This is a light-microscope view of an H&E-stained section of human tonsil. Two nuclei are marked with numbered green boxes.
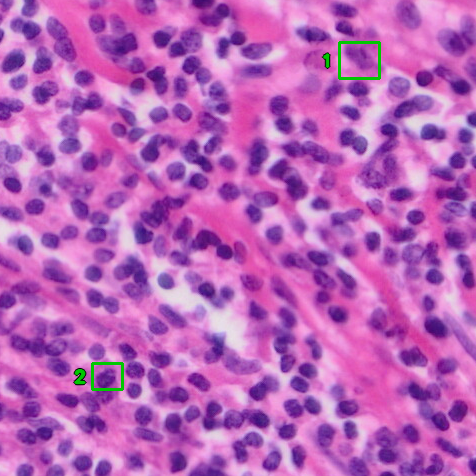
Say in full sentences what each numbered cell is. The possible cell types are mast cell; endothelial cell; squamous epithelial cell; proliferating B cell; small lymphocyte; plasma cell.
Cell 1 is an endothelial cell. Cell 2 is a plasma cell.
